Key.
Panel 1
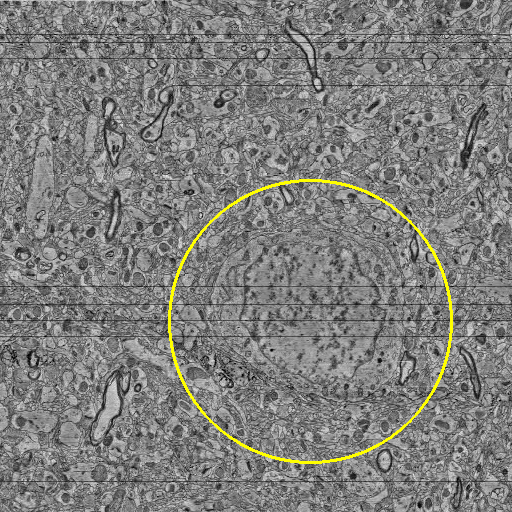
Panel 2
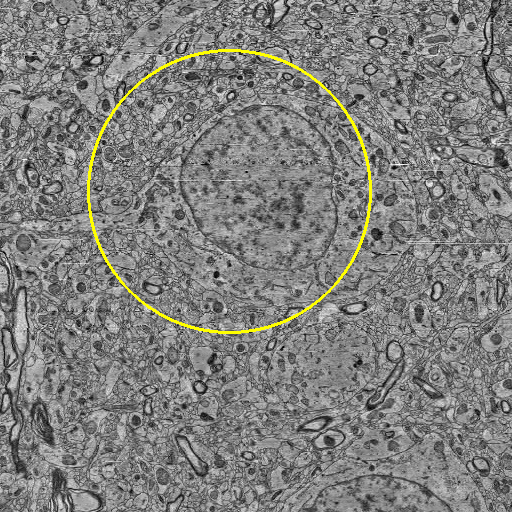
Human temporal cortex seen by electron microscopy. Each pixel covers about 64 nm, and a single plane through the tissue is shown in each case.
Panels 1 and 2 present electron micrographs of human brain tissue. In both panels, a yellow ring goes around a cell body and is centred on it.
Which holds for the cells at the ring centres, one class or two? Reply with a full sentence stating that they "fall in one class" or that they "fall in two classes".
Taken together, the ring-centre cells of the two panels fall in one class.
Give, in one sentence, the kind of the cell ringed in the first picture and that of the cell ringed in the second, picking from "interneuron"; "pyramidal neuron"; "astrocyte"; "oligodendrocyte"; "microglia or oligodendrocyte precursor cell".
The first and the second cell are each an interneuron.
